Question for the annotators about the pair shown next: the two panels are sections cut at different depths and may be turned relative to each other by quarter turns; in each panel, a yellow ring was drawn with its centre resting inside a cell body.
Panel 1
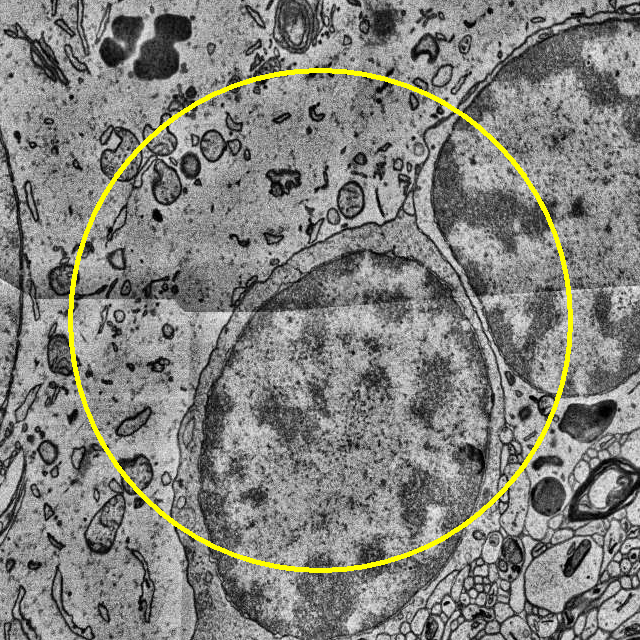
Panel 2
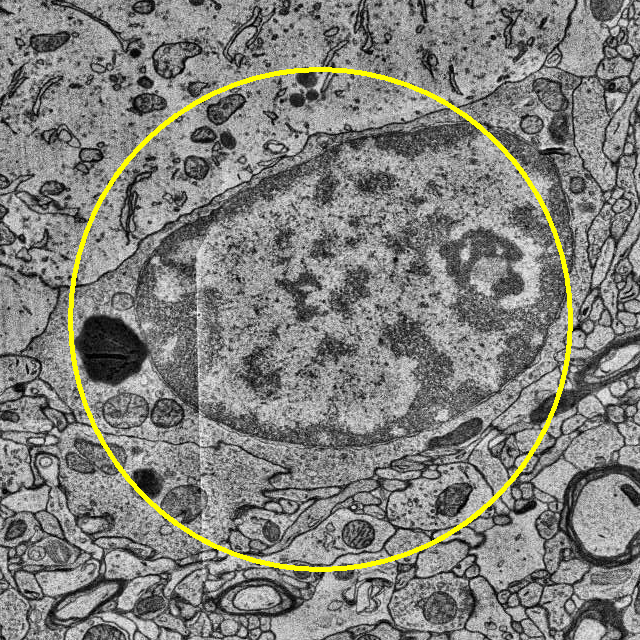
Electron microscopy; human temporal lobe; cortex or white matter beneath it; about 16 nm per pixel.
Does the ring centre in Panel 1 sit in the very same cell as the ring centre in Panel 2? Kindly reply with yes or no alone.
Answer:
no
